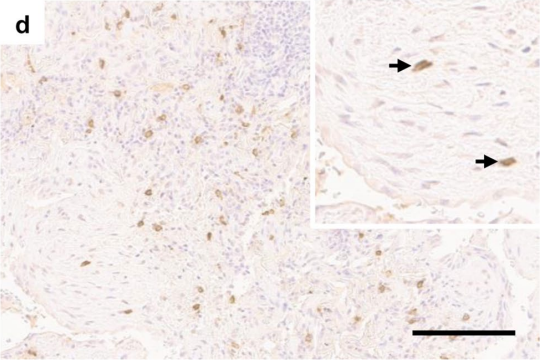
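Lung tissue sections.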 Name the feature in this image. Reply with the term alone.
Fibroblast focus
